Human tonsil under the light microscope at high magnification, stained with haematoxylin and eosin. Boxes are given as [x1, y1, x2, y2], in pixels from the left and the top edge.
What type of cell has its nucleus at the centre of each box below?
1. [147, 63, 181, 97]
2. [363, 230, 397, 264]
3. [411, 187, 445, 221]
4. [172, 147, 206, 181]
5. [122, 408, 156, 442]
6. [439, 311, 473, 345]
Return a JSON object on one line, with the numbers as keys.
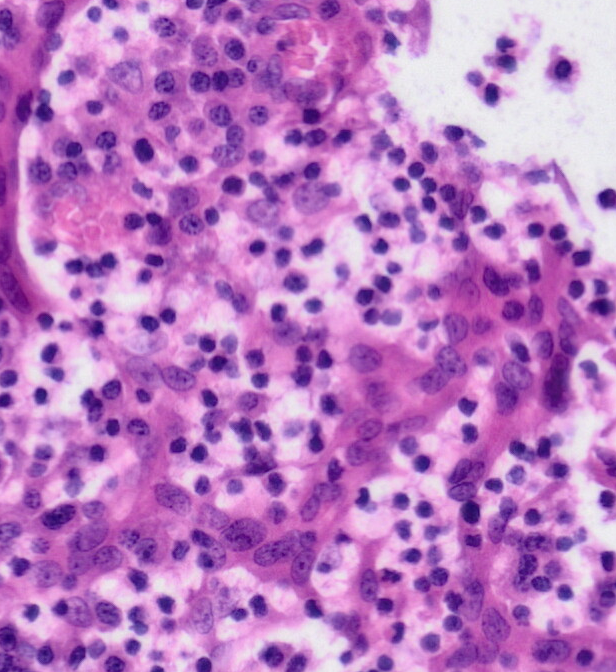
{"1": "plasma cell", "2": "small lymphocyte", "3": "small lymphocyte", "4": "plasma cell", "5": "plasma cell", "6": "squamous epithelial cell"}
